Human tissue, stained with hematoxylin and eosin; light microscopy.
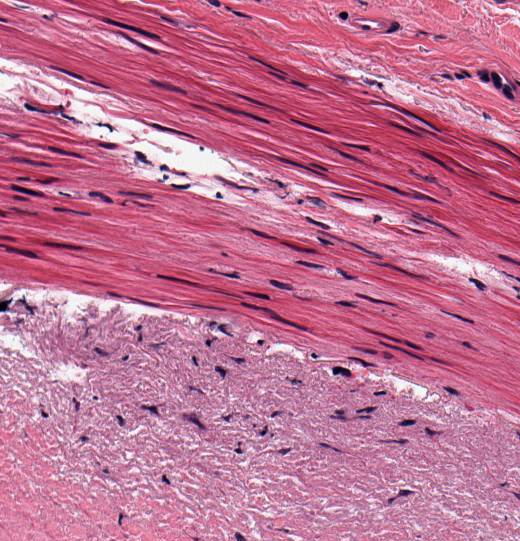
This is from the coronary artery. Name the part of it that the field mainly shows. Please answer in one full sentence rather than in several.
On this slide, the tissue part is known as tunica media.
